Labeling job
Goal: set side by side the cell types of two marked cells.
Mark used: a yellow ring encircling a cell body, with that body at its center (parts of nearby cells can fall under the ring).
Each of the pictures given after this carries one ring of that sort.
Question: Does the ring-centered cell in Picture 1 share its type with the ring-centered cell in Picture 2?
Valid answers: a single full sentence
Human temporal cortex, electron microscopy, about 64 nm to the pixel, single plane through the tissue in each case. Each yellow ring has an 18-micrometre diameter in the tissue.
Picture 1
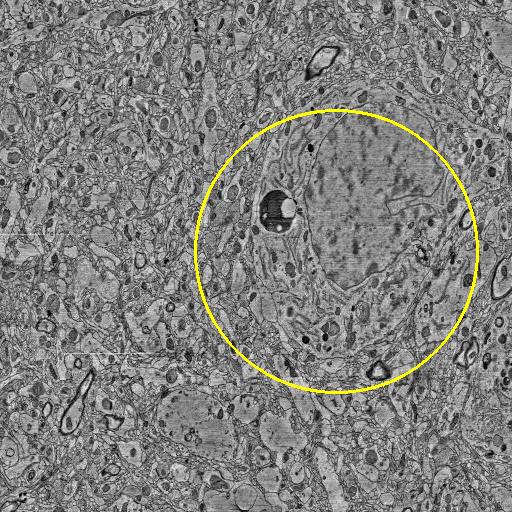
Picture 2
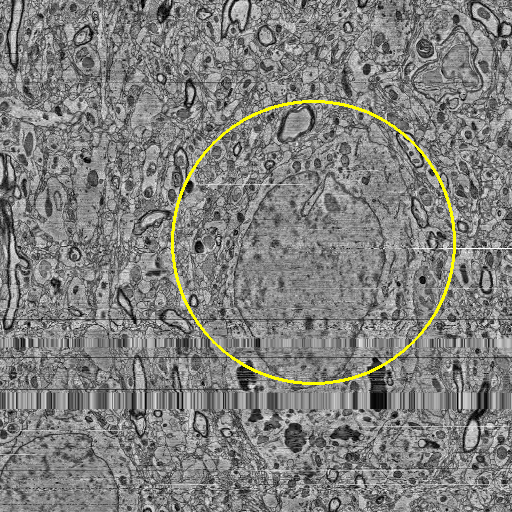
Yes, in Pictures 1 and 2 the cells at the ring centers share one type.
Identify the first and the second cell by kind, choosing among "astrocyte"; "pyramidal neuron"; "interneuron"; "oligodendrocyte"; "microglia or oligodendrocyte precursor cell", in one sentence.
Both cells are the same kind, each one being an interneuron.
